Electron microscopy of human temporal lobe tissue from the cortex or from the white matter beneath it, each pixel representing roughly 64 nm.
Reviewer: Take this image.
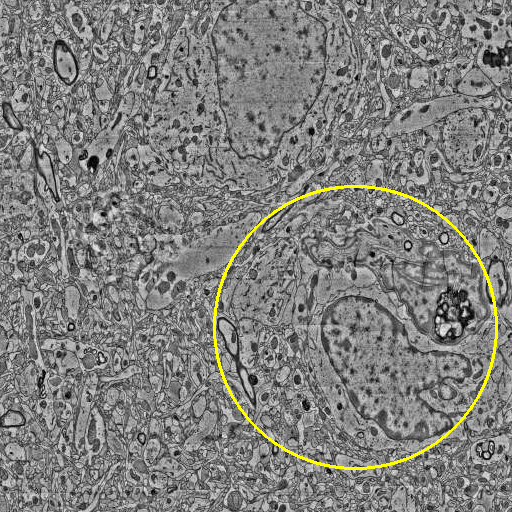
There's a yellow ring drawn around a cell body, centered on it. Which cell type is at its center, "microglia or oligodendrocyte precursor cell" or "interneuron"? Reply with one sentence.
At the center of the yellow ring is a microglial cell or oligodendrocyte precursor cell.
